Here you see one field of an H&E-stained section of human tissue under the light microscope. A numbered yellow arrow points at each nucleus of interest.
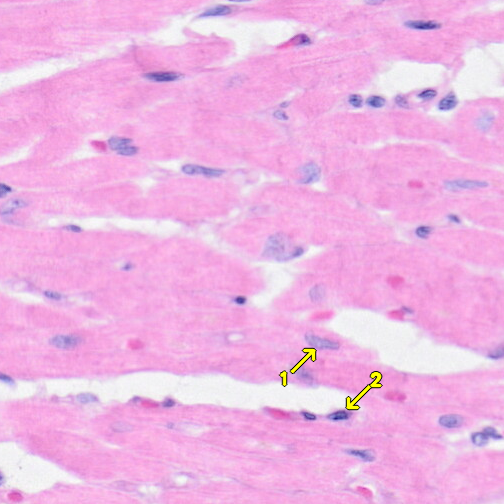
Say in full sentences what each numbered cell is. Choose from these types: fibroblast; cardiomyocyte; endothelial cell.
Cell 1 is a cardiomyocyte. Cell 2 is an endothelial cell.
